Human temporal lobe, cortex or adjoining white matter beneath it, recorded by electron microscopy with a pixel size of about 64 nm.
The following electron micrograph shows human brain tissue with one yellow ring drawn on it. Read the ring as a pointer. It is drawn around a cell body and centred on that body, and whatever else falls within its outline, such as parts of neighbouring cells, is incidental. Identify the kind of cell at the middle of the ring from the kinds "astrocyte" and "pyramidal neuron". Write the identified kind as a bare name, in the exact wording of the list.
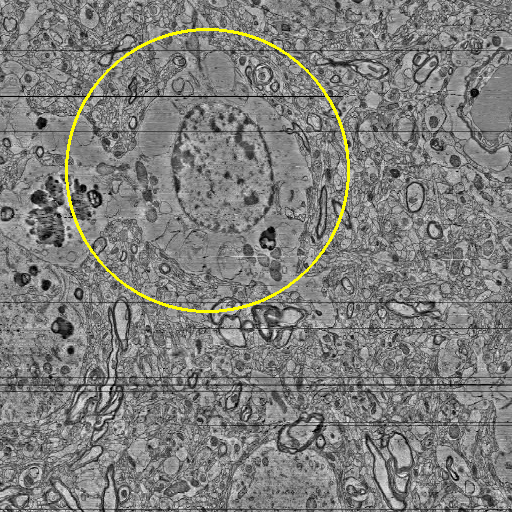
astrocyte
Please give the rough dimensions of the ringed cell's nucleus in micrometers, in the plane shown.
About 9 by 7 micrometers, in this plane.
